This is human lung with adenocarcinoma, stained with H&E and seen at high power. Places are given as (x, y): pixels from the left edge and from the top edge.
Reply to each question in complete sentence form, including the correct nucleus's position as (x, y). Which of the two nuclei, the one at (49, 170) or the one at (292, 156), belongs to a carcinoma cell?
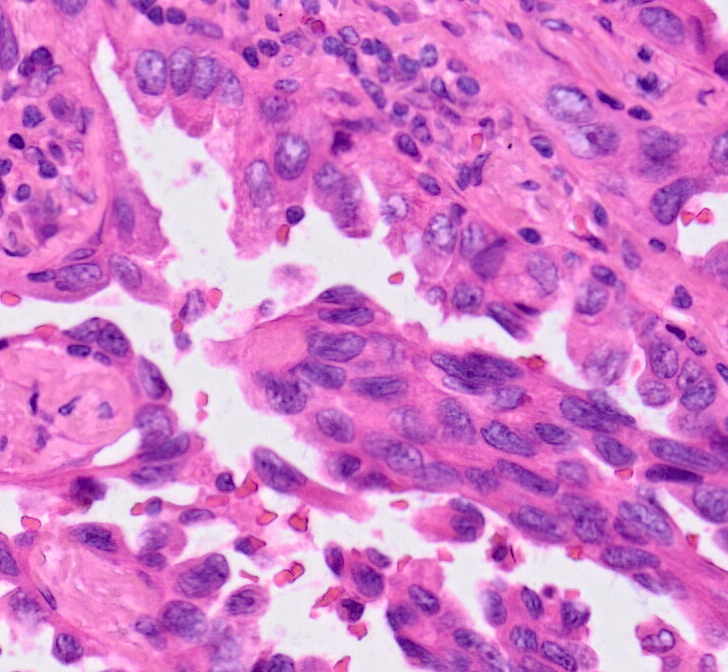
Of the two options, the nucleus at (292, 156) is the one that belongs to a carcinoma cell.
